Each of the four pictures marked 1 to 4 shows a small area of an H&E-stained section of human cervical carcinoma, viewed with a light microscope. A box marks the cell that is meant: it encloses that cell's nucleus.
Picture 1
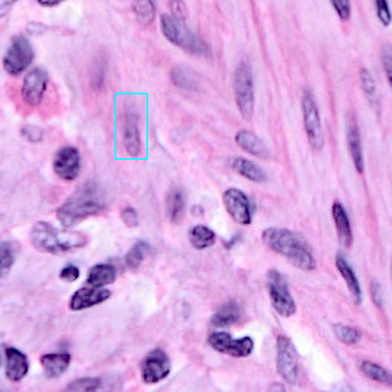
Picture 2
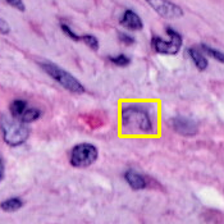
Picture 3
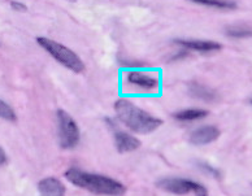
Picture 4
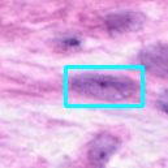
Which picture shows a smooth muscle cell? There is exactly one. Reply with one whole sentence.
It is picture 1 that shows the smooth muscle cell.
